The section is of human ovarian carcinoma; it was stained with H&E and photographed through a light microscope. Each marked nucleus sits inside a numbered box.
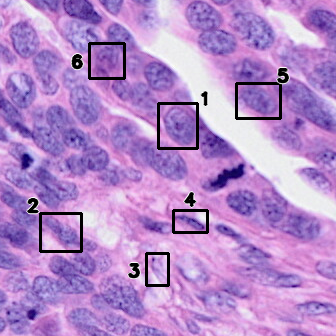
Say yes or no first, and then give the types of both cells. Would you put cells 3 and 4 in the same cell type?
Yes, it is as fibroblasts that cells 3 and 4 are both classified.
